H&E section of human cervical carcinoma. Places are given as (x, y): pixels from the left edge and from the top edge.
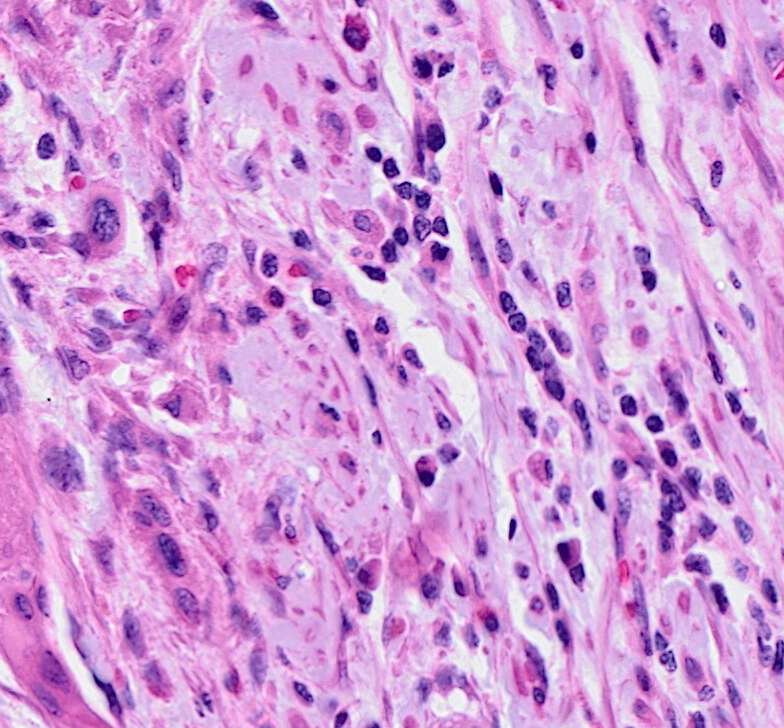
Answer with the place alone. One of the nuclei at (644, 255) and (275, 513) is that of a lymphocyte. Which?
(644, 255)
